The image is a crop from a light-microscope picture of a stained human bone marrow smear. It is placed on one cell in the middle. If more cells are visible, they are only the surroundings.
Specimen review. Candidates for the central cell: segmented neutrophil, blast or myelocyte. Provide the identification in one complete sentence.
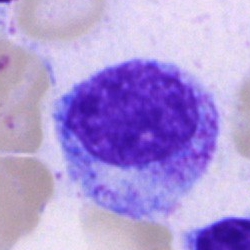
At the middle of the frame sits a myelocyte.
